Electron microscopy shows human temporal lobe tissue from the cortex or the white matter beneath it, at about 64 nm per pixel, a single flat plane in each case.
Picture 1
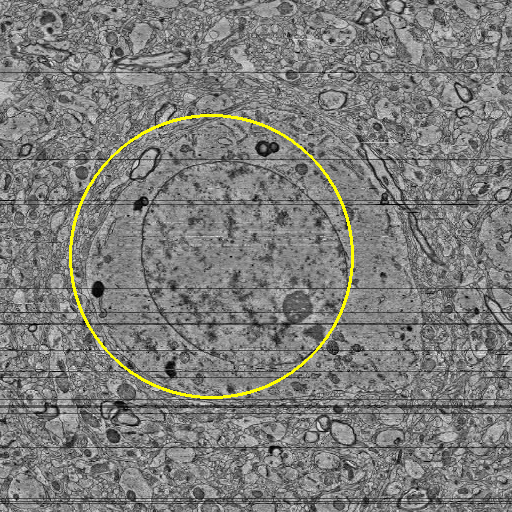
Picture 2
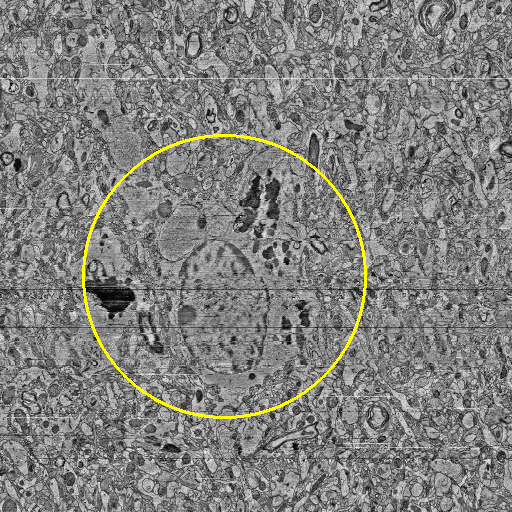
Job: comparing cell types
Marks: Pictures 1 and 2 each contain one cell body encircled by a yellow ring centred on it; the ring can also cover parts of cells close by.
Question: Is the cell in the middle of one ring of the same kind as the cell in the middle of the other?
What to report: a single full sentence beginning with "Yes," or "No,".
No, the cell at the ring centre in Picture 1 and its partner in Picture 2 are of two kinds.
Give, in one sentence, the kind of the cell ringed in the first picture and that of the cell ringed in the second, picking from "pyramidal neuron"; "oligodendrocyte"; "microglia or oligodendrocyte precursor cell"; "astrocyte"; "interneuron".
For the first picture it is a pyramidal neuron; for the second, an astrocyte.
